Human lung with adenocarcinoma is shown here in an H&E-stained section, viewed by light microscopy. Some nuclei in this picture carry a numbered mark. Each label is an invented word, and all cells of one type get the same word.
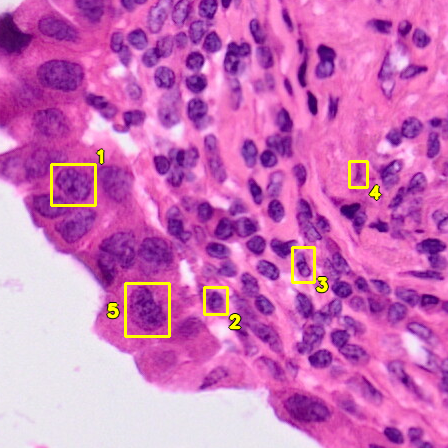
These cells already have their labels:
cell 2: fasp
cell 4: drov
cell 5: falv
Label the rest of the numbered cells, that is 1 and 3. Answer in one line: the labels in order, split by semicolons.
falv; fasp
